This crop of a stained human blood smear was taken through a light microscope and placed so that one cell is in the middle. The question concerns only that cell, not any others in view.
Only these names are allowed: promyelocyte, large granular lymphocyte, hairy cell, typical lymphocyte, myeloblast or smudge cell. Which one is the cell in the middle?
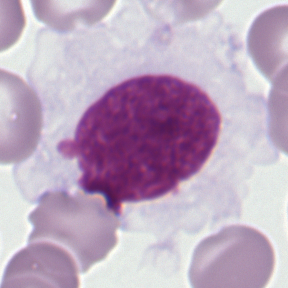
hairy cell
